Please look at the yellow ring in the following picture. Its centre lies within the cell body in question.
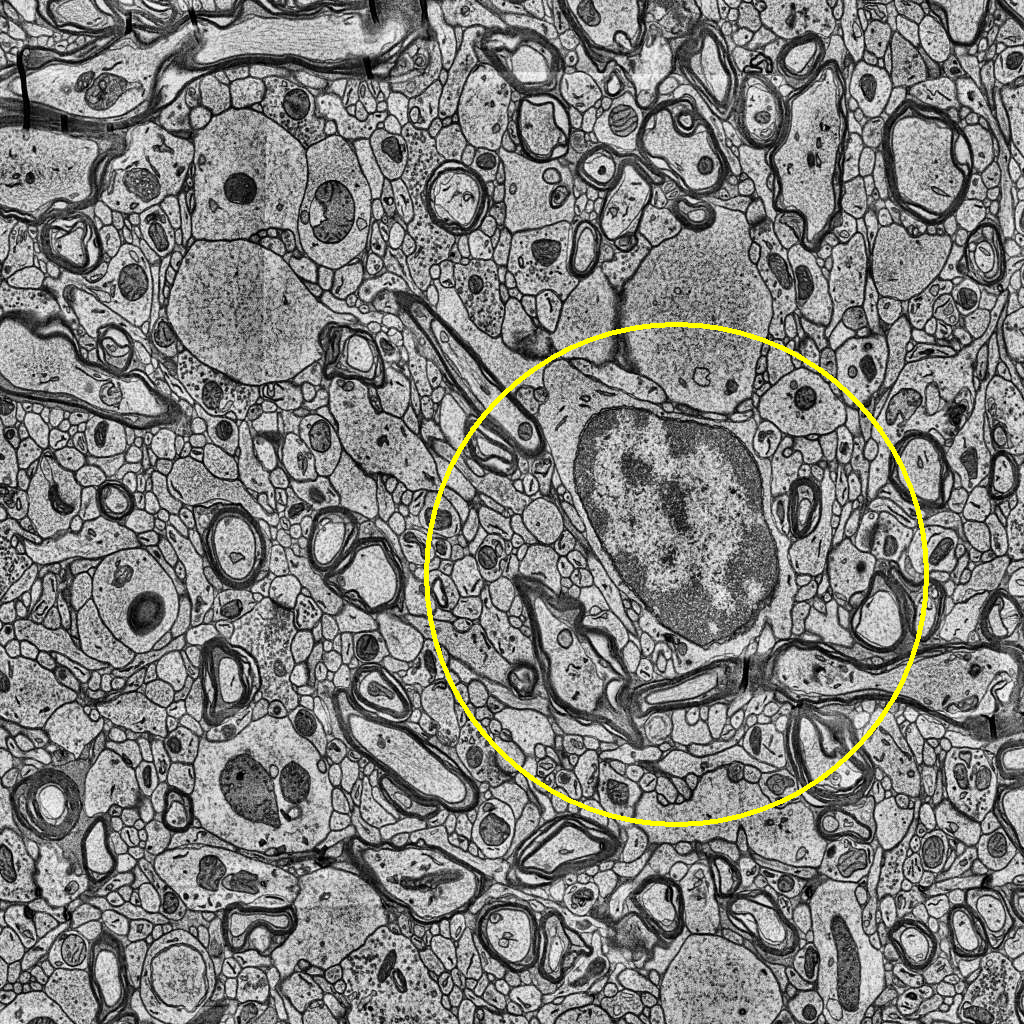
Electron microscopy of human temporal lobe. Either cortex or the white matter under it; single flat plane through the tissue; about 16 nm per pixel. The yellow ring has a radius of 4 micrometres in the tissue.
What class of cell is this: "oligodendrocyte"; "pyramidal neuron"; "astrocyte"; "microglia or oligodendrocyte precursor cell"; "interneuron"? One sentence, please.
The centre of the ring lies in the cell body of a microglial cell or oligodendrocyte precursor cell.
